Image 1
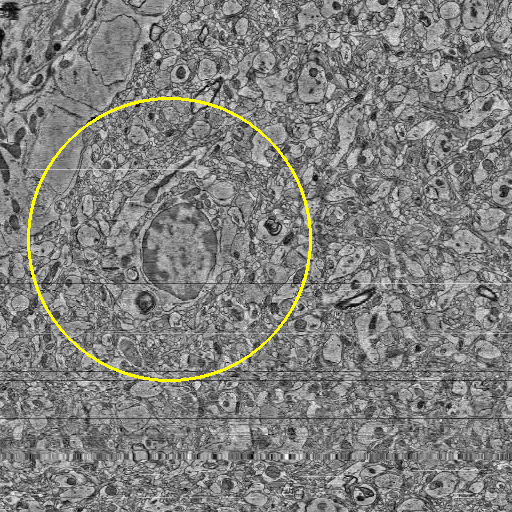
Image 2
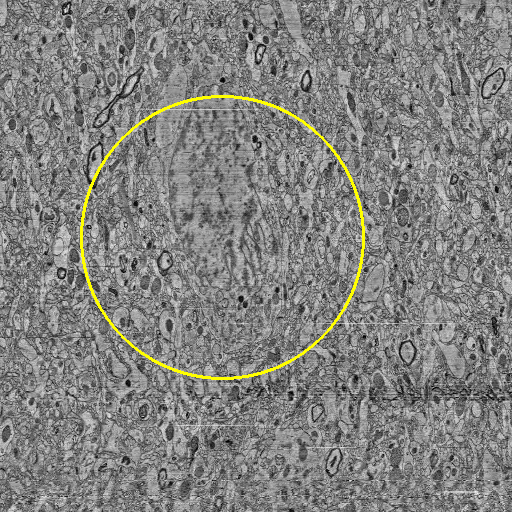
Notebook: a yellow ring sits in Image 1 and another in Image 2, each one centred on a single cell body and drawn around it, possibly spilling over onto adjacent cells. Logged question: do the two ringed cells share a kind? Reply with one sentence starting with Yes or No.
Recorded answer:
No, the centre cells inside the rings of Image 1 and Image 2 are of two kinds.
